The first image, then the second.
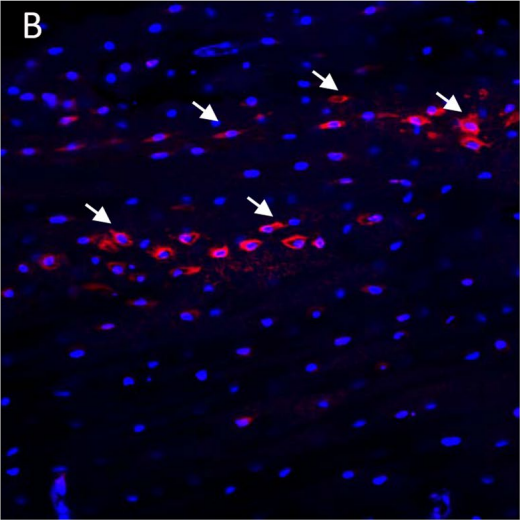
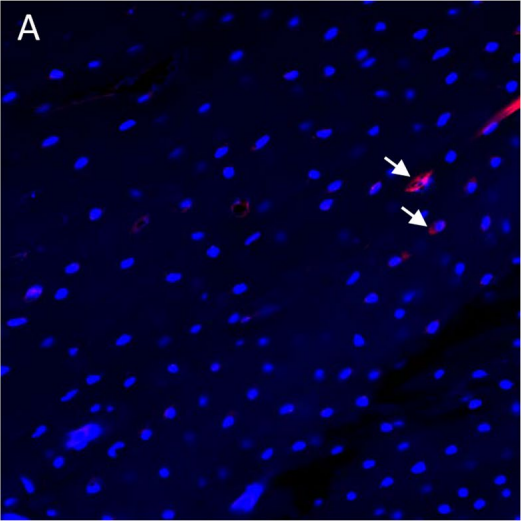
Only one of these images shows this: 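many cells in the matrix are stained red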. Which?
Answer: The first image.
